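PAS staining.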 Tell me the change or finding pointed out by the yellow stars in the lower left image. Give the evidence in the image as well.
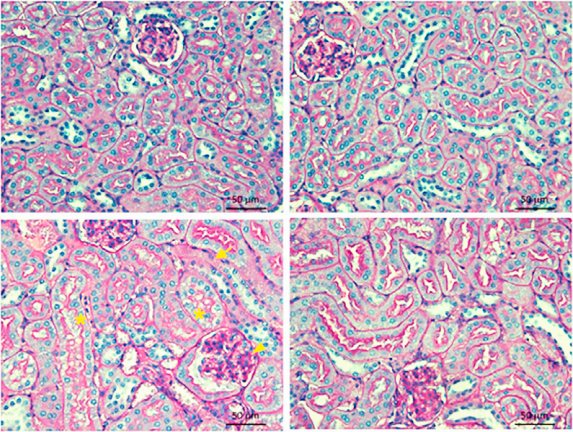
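Cytoplasmic vacuolation. Yellow stars lie over tubule cross-sections in the lower left image. The tubular cells there look pale and frothy compared with the tubules of the upper images.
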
